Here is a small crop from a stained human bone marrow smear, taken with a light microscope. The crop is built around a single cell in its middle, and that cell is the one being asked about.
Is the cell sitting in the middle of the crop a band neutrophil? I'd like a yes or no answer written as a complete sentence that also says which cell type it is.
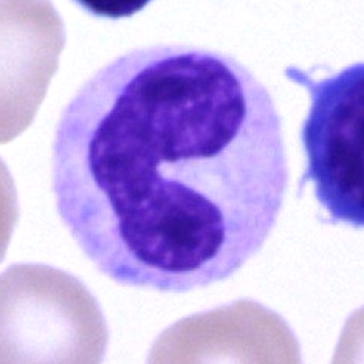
Yes, the middle cell is classified as a band neutrophil.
